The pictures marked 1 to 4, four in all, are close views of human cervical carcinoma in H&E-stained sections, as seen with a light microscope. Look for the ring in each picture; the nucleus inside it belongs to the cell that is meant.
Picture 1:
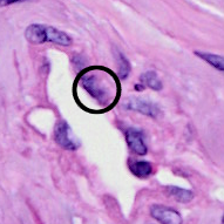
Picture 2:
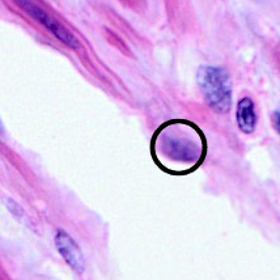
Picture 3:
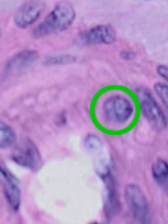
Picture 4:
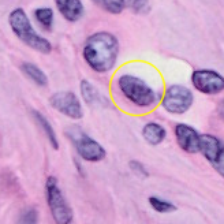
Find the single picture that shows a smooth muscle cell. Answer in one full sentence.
The cell in picture 3 is the smooth muscle cell.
